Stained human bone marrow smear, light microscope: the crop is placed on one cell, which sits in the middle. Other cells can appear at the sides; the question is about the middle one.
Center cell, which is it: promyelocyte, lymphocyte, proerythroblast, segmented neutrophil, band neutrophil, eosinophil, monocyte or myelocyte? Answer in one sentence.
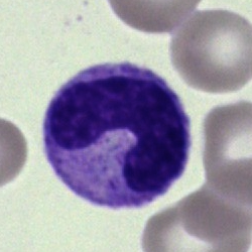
Positioned in the middle of the crop is a band neutrophil.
